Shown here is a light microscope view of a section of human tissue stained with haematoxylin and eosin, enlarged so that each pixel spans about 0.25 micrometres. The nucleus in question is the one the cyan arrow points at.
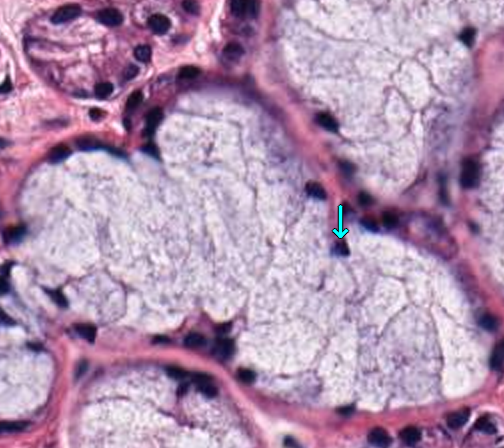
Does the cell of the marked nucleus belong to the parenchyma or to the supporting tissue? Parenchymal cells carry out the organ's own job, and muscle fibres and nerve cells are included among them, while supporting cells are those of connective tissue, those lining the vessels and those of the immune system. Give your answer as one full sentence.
The cell to which the marked nucleus belongs is a mucous gland cell, a parenchymal cell.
